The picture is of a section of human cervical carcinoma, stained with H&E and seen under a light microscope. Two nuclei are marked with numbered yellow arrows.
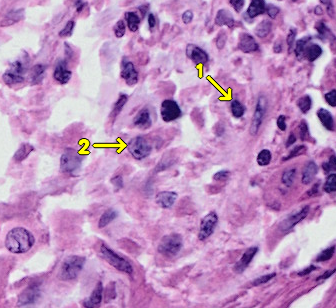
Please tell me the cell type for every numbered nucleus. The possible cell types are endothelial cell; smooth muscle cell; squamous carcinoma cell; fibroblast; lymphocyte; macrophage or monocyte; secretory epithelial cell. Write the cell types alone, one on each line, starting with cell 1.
lymphocyte
macrophage or monocyte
